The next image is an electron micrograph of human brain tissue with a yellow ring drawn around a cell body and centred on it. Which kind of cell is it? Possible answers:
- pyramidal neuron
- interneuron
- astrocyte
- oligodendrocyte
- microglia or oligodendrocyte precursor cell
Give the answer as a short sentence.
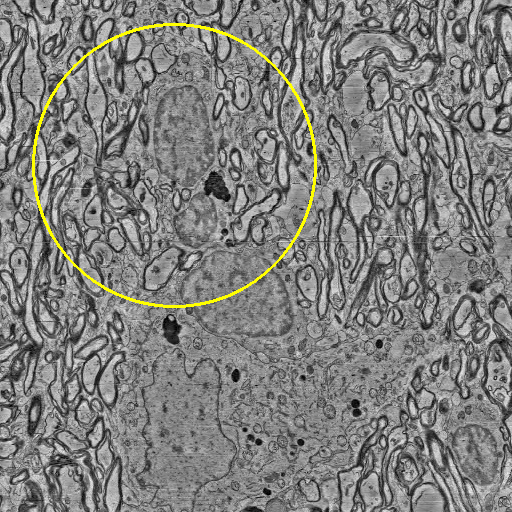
In the ring's centre is an oligodendrocyte.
